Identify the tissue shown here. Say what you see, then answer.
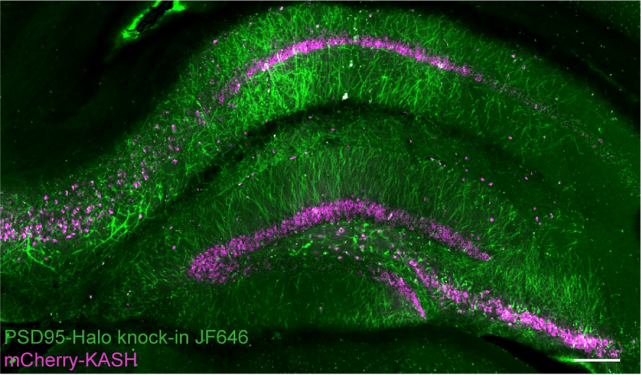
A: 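Hippocampus. Two curved, C-shaped bands of densely packed cell bodies. Fine green processes run radially away from the cell bands.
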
